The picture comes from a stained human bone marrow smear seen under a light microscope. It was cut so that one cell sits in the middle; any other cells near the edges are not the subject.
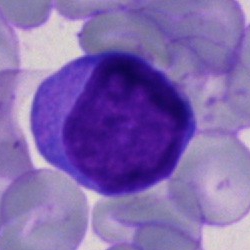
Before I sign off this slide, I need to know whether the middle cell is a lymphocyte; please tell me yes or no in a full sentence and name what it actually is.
No, the central cell is reported as a blast rather than as a lymphocyte.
